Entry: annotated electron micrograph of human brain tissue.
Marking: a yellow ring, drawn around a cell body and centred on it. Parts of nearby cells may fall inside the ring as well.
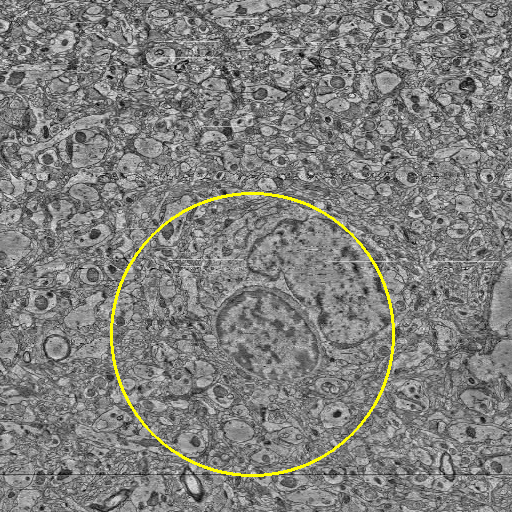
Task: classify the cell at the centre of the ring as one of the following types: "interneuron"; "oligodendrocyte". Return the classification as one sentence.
The marked cell is classified as an oligodendrocyte.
